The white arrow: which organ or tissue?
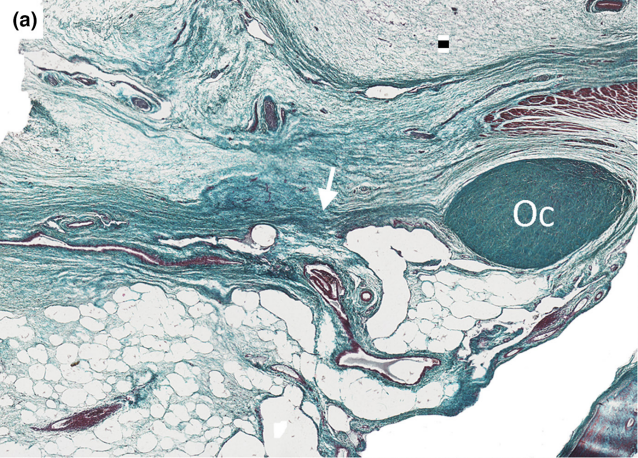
dense regular connective tissue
